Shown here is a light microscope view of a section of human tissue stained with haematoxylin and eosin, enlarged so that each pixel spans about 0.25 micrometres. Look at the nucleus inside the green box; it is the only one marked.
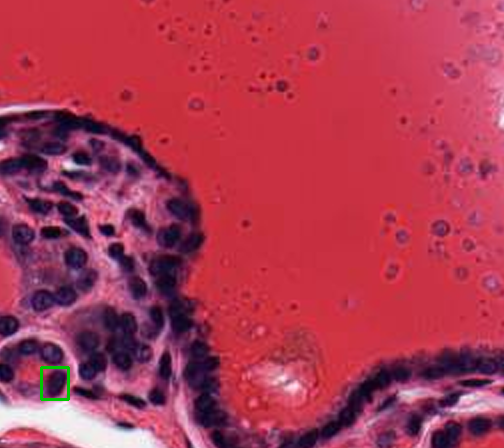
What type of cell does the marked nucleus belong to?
thyroid follicular cell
